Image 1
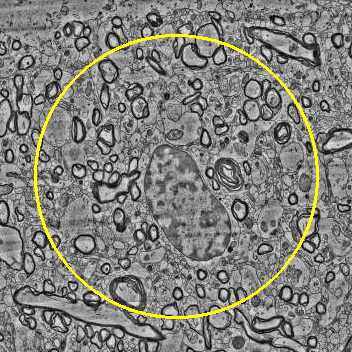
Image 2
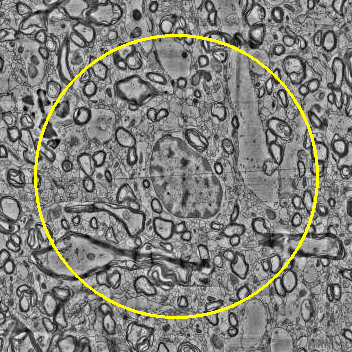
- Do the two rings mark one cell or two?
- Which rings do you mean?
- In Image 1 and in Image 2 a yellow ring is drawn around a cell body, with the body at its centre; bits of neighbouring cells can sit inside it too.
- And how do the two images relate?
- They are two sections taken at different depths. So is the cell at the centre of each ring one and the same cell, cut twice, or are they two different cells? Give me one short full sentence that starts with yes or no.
No, the rings mark two cells rather than a single cell.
